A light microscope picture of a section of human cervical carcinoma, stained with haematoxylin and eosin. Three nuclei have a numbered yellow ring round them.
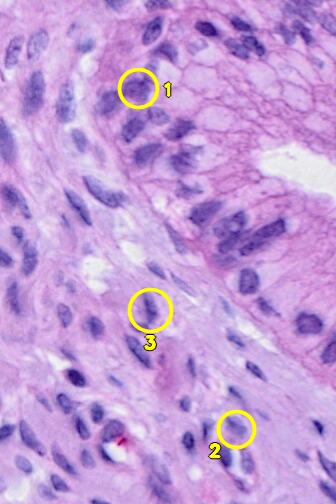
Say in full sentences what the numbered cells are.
Cell 1 is a secretory epithelial cell, cell 2 is a fibroblast and cell 3 is a fibroblast.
